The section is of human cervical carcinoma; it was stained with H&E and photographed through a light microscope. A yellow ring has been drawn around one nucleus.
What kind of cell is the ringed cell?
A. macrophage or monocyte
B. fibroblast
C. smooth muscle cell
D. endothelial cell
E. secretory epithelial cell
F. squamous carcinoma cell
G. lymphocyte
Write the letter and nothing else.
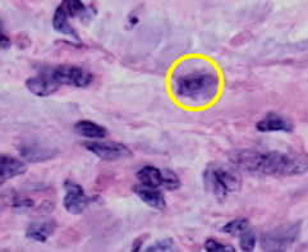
A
